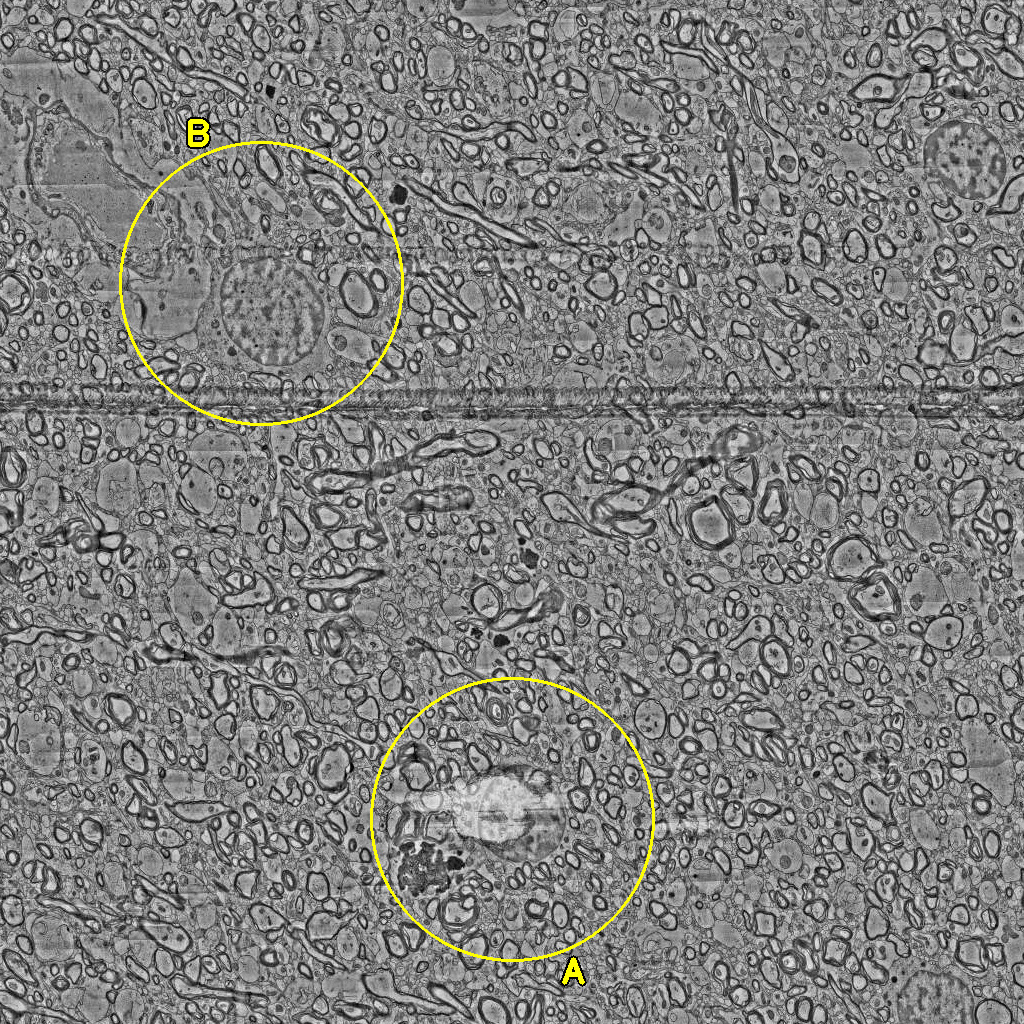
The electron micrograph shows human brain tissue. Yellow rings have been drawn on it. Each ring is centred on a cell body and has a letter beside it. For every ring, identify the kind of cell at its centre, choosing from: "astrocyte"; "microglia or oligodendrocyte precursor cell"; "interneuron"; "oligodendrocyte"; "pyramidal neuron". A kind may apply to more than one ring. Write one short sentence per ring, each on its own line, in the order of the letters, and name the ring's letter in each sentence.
Ring A is centred on an oligodendrocyte.
Ring B is centred on an oligodendrocyte.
